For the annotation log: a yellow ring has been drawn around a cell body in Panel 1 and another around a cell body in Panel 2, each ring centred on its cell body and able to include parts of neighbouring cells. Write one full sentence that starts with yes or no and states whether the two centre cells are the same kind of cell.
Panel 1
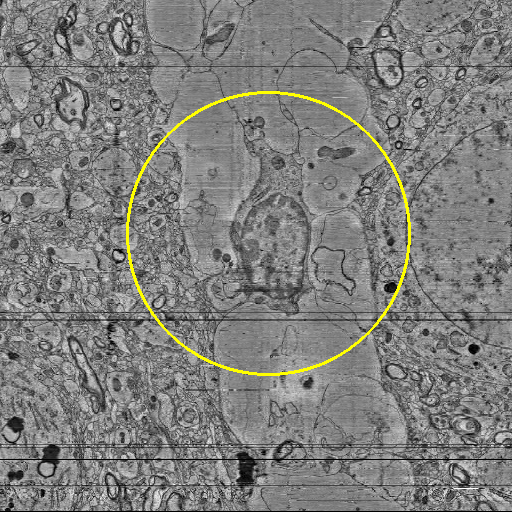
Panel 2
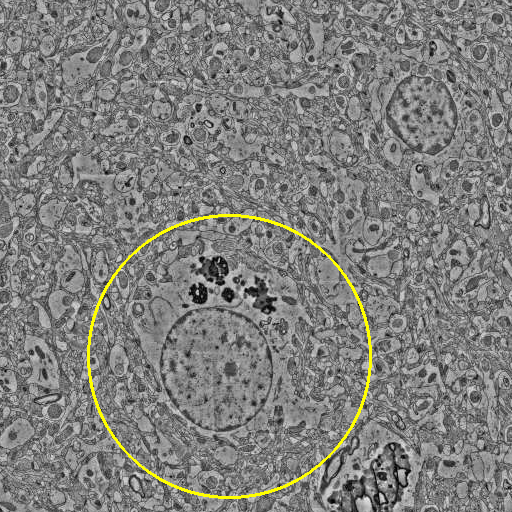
No, the two centre cells are two kinds of cell.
